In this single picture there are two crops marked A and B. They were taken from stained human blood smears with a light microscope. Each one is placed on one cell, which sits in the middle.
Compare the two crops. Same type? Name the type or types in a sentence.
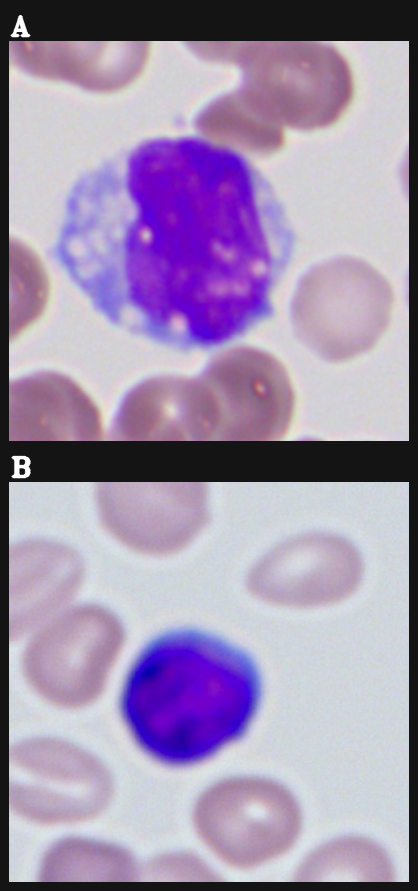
No, for crop A the cell is a monocyte, and for crop B it is a lymphocyte.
